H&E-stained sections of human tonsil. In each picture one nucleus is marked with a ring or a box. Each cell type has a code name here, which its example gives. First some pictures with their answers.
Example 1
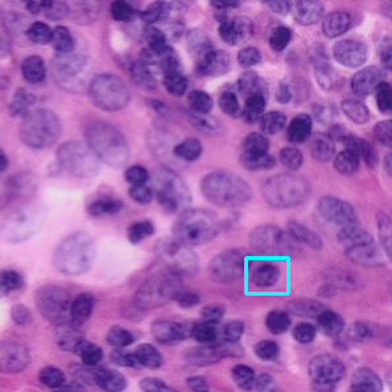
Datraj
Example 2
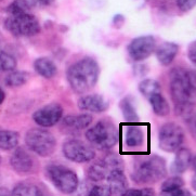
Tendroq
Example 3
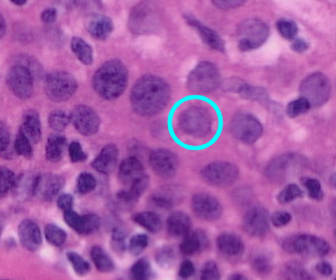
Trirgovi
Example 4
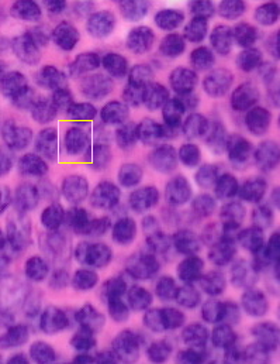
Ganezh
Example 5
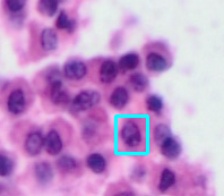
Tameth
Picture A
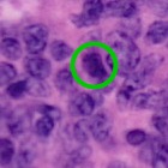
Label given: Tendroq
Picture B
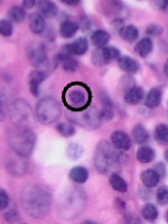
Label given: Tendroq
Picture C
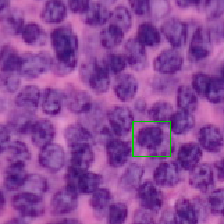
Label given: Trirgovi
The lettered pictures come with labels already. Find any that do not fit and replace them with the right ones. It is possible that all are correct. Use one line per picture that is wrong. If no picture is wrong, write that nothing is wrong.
B is labelled Tendroq; correct label: Datraj
C is labelled Trirgovi; correct label: Ganezh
